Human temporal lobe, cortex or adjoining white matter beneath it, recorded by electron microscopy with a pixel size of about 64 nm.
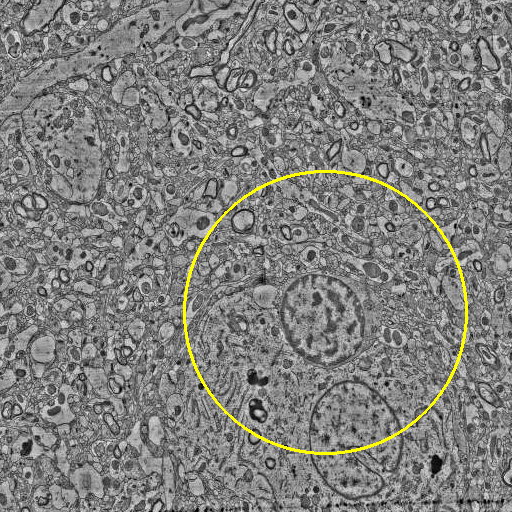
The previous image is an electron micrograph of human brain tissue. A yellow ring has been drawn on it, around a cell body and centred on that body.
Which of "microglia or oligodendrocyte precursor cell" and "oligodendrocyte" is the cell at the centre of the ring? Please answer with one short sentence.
The cell body at the centre of the ring belongs to an oligodendrocyte.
